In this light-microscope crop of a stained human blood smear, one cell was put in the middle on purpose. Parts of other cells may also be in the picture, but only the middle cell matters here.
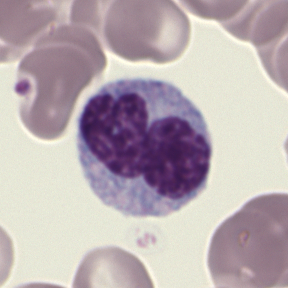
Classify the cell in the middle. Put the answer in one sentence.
Positioned in the middle of the crop is a monocyte.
